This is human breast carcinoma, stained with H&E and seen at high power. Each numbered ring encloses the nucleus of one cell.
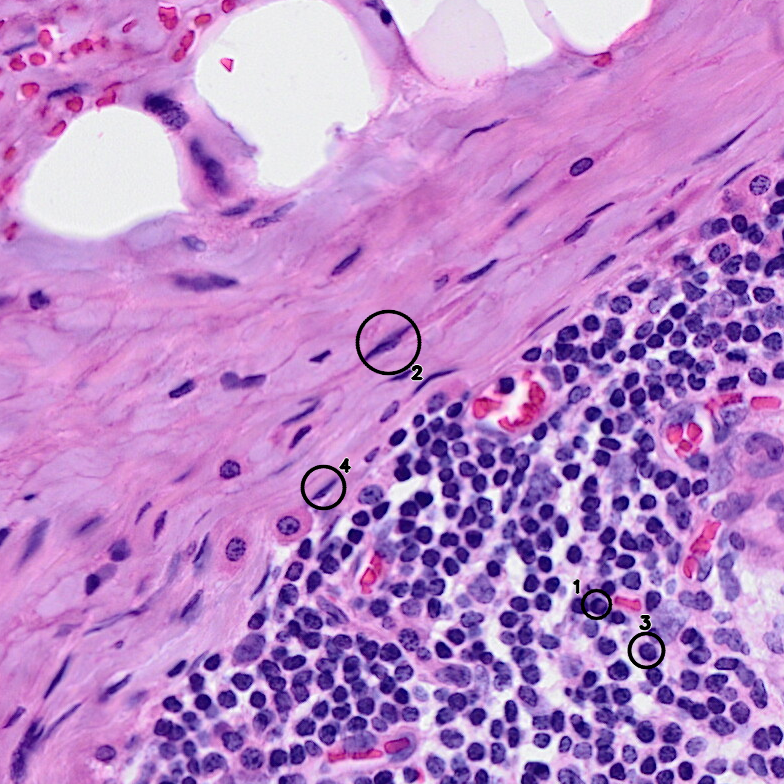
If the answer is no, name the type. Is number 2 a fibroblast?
Yes.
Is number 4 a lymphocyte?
No, it is a fibroblast.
